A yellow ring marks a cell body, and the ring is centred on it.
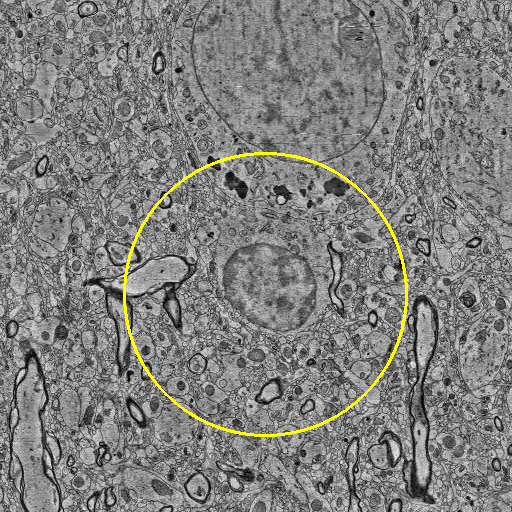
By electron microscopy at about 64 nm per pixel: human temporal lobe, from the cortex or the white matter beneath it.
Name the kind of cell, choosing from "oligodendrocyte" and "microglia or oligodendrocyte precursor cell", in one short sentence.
The marked cell body belongs to an oligodendrocyte.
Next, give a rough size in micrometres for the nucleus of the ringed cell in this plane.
Roughly 6 micrometers across in this plane.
